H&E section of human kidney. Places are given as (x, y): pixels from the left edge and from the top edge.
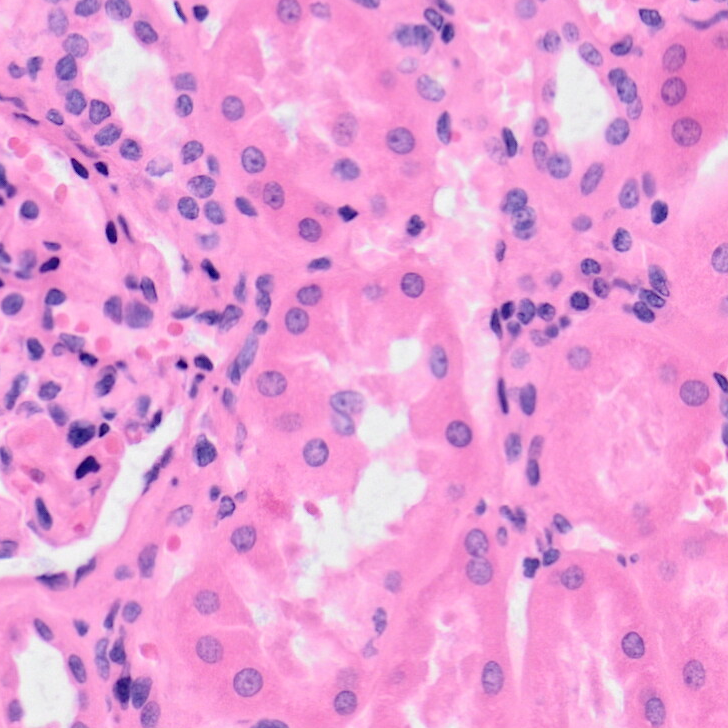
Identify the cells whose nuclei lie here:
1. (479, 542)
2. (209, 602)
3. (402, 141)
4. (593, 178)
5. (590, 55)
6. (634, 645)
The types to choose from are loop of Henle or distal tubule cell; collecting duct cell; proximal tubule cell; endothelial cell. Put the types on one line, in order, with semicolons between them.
proximal tubule cell; proximal tubule cell; proximal tubule cell; collecting duct cell; collecting duct cell; proximal tubule cell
